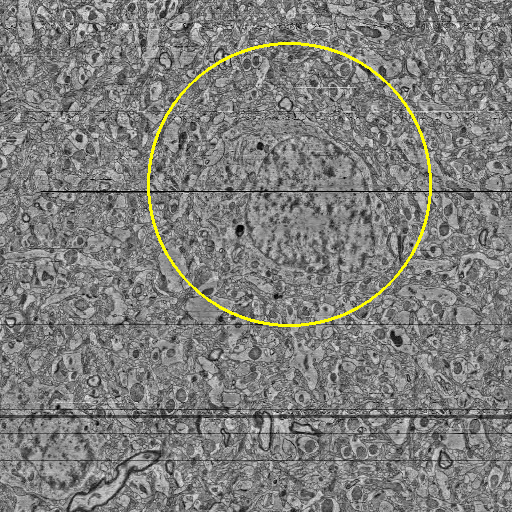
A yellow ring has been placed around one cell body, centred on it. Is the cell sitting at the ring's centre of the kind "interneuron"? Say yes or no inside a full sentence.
Yes, the cell sitting at the centre of the yellow ring is of that kind.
